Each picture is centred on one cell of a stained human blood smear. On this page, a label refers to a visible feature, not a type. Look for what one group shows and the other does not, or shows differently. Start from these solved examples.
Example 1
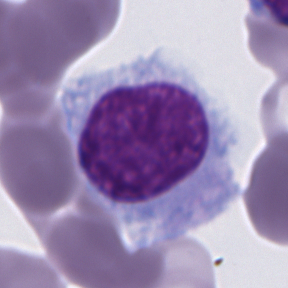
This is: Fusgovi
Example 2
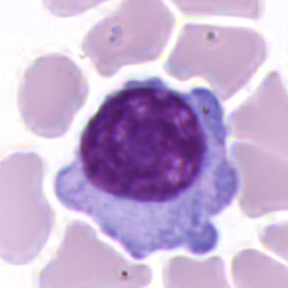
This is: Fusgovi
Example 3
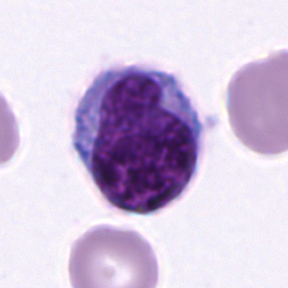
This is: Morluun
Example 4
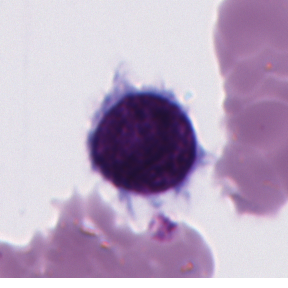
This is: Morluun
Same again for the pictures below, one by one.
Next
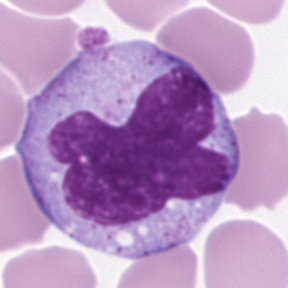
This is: Fusgovi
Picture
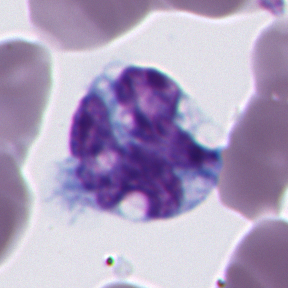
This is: Morluun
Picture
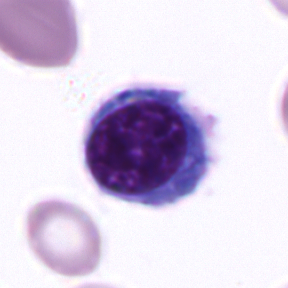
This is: Morluun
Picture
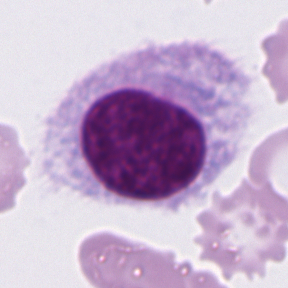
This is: Fusgovi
